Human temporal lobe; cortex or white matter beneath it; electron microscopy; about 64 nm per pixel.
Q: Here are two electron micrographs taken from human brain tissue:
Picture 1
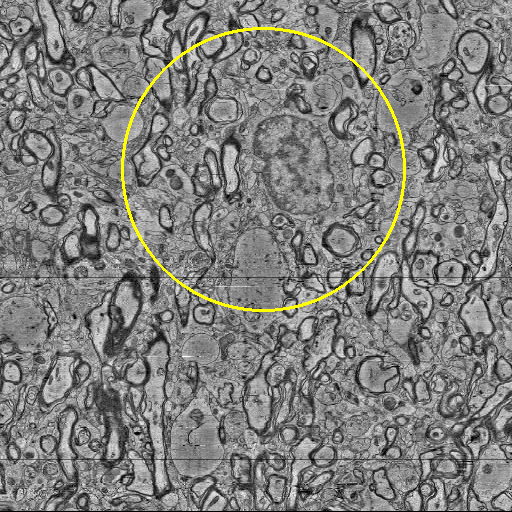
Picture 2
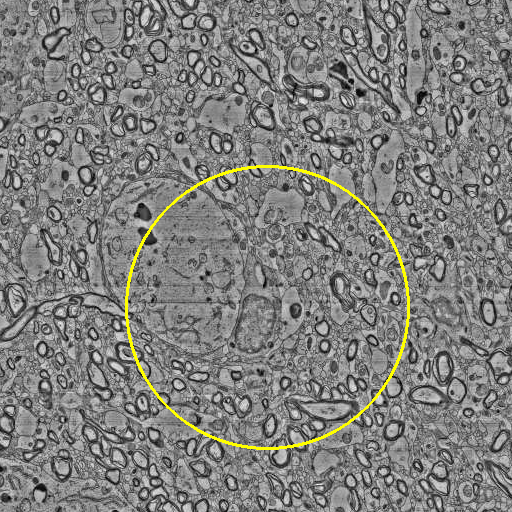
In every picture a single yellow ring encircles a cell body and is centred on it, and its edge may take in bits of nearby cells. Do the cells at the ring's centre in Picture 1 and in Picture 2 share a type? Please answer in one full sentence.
Yes, the cells at the ring's centre in Picture 1 and Picture 2 share a type.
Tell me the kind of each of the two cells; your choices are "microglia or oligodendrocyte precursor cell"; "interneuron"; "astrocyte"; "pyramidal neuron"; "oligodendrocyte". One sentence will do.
Each of the two cells is an oligodendrocyte.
